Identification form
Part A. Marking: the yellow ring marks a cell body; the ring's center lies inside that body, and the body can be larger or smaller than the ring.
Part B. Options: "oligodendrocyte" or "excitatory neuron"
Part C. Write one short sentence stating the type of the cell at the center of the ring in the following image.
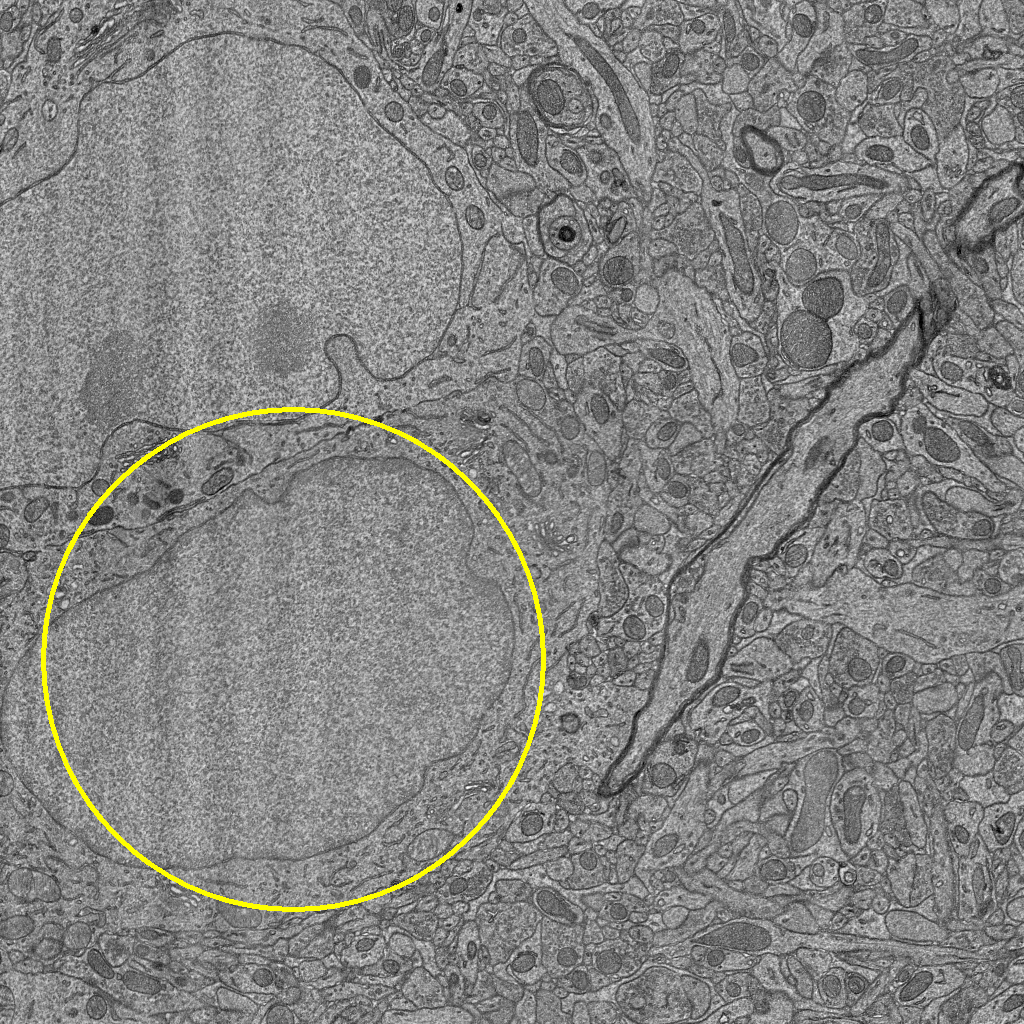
The center of the ring holds an oligodendrocyte.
